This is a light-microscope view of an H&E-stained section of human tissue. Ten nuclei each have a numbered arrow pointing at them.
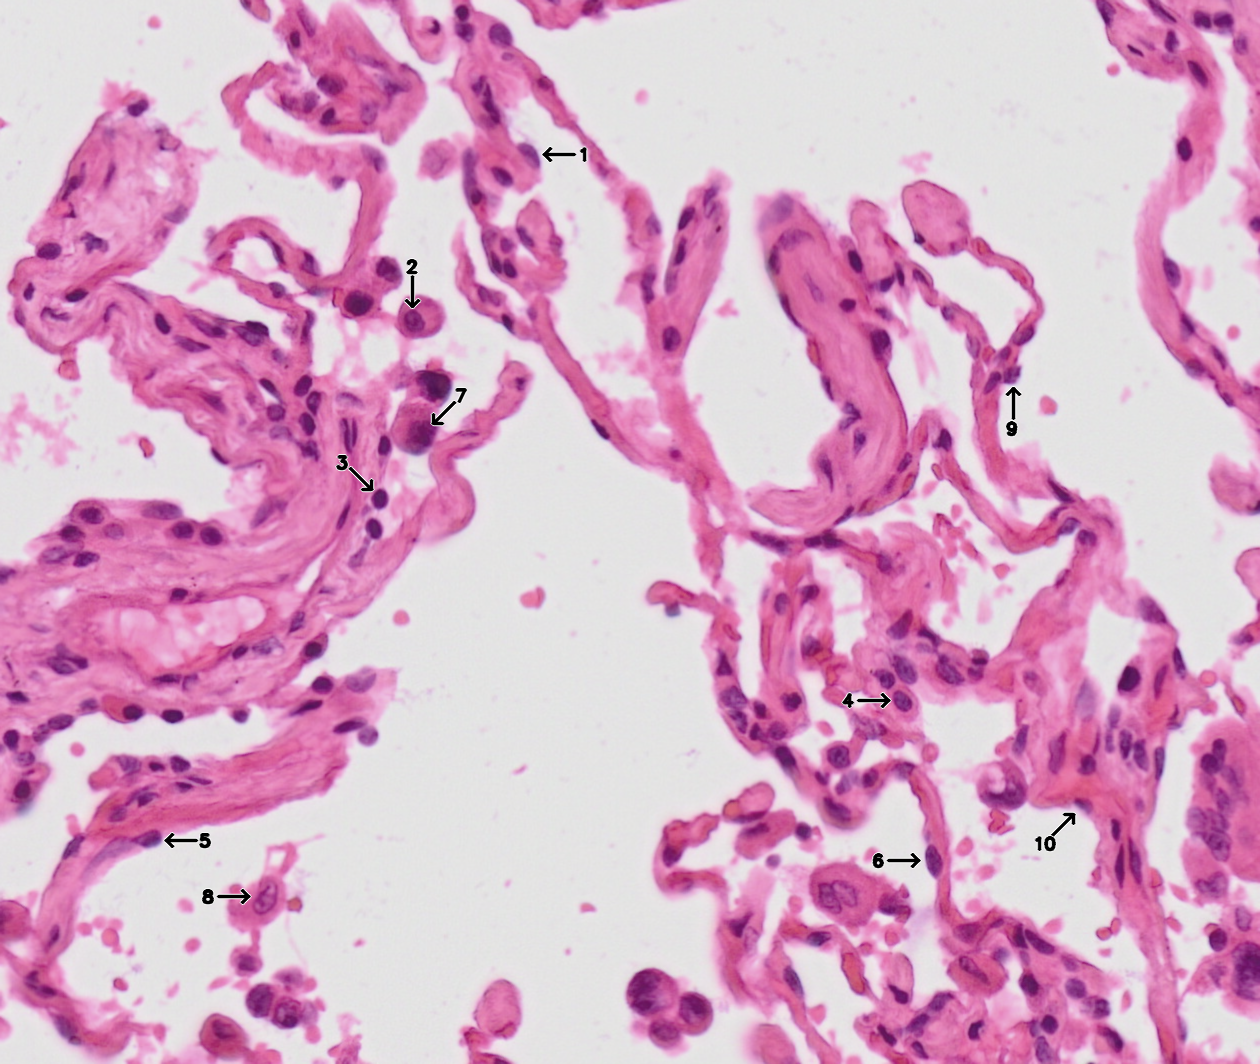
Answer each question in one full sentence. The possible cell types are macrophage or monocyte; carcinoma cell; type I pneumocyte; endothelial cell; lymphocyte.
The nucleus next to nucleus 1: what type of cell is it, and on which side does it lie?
Lying below and to the left of nucleus 1, the nearest nucleus is that of an endothelial cell.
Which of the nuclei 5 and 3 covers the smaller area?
Number 3 is smaller, since number 5 takes up about 1.5 times as much area.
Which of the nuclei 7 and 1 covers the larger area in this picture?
Nucleus 7 is the larger one, covering about 2.5 times the area of nucleus 1.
